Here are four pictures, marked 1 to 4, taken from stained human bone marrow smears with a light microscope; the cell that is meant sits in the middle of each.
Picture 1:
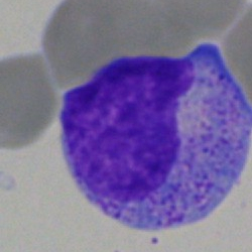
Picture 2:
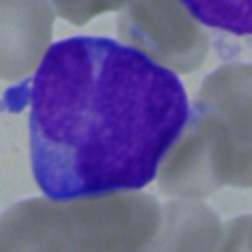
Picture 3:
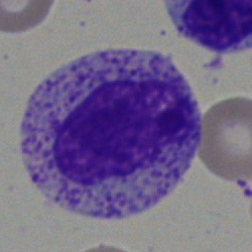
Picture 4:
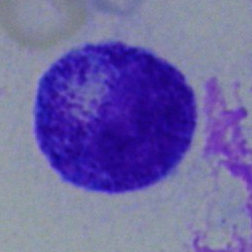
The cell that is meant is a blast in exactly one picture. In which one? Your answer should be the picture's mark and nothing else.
2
